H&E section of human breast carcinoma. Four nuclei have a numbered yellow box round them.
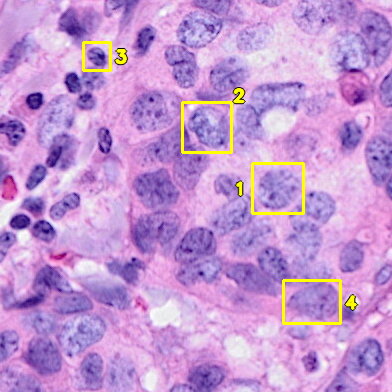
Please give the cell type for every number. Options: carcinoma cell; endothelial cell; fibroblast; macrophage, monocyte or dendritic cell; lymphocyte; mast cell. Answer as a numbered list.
1. carcinoma cell
2. carcinoma cell
3. lymphocyte
4. carcinoma cell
